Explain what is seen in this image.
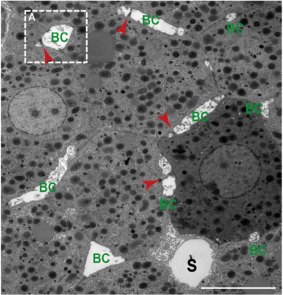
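Low-magnification electron micrograph of liver showing several hepatocytes with large round nuclei and cytoplasm crowded with dark granules. Between neighbouring hepatocytes lie many bright, irregular bile canaliculi, several of them markedly widened. Some canaliculi approach the size of the round bright sinusoid near the lower edge. Small dense crossings within some canaliculi are marked by red arrowheads.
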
